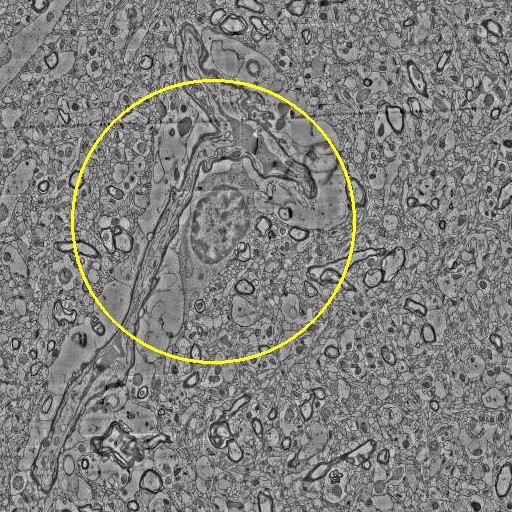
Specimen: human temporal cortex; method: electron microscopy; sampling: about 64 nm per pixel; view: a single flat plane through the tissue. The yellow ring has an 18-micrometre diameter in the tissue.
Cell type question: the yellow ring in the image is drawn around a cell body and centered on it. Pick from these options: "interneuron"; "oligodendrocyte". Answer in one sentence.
The ringed cell at the center is an oligodendrocyte.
